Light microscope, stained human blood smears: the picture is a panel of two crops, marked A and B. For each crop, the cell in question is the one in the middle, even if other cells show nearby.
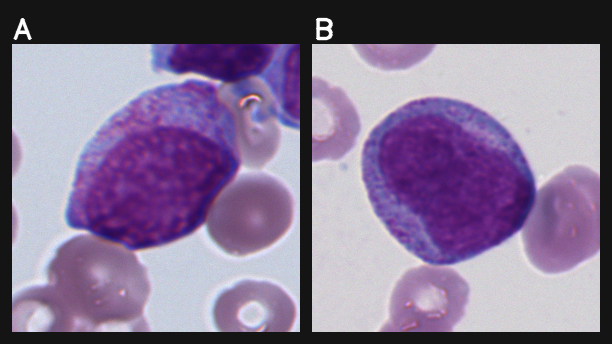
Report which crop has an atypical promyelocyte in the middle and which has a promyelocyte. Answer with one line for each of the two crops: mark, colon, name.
A: atypical promyelocyte
B: promyelocyte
